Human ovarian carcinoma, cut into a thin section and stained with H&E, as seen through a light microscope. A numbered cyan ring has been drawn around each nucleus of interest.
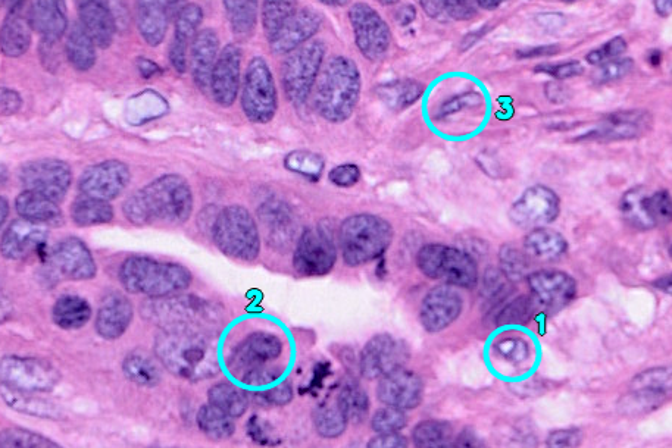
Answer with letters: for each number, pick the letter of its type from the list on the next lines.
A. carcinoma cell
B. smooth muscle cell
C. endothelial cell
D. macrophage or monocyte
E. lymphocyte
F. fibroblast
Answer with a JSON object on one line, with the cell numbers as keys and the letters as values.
{"1": "F", "2": "A", "3": "F"}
